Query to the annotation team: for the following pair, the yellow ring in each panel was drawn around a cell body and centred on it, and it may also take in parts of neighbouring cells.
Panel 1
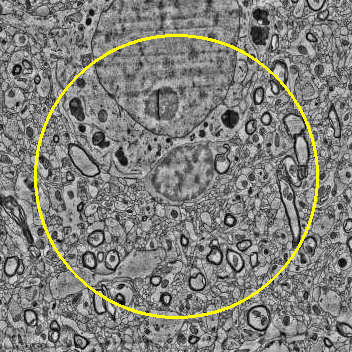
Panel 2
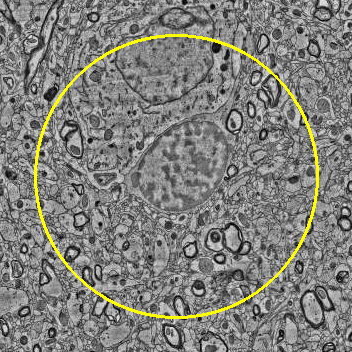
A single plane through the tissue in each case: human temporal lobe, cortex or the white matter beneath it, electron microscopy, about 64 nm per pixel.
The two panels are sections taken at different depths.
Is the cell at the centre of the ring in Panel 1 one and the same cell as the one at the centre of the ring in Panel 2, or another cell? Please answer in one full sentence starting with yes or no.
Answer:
Yes, the two rings belong to one cell, not to two.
